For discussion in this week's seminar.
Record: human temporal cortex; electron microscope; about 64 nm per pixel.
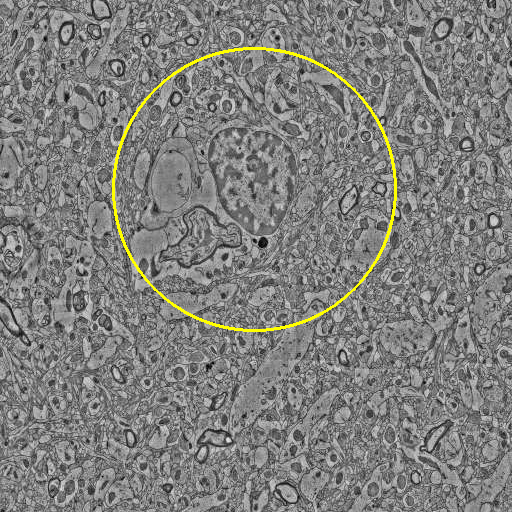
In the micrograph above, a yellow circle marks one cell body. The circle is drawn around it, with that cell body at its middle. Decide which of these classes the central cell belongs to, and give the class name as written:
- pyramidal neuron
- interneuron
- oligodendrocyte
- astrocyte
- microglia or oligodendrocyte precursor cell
microglia or oligodendrocyte precursor cell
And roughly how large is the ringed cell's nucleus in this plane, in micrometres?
In this plane, the nucleus is roughly 7 by 5 micrometres.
